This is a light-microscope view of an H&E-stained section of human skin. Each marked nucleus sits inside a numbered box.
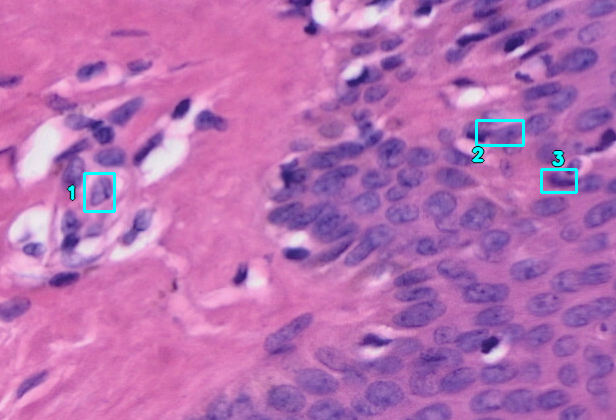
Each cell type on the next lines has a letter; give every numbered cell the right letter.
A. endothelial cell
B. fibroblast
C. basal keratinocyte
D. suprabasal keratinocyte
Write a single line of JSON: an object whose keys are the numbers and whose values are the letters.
{"1": "A", "2": "C", "3": "C"}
